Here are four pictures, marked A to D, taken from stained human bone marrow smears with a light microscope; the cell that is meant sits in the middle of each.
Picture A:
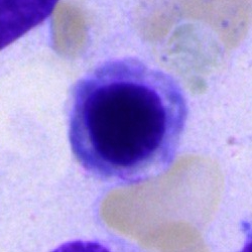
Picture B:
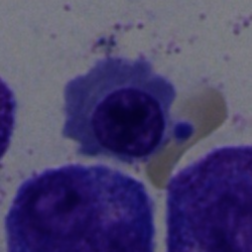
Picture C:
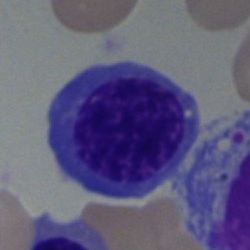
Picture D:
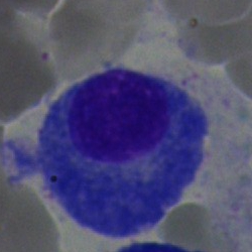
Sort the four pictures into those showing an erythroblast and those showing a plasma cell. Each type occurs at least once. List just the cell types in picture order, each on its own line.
erythroblast
erythroblast
erythroblast
plasma cell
